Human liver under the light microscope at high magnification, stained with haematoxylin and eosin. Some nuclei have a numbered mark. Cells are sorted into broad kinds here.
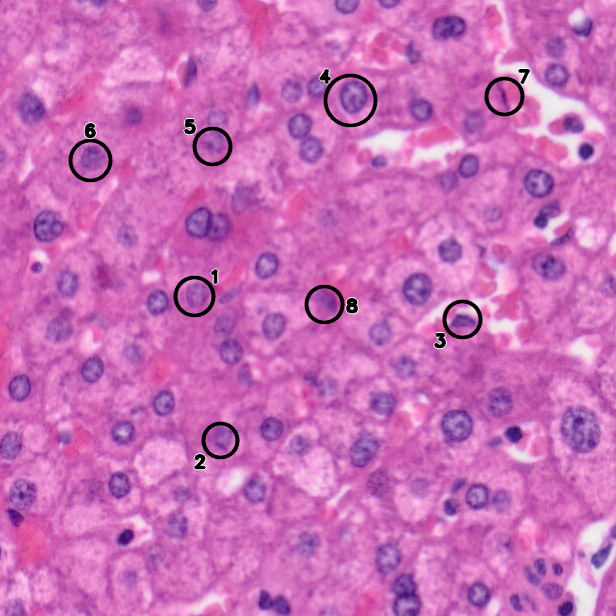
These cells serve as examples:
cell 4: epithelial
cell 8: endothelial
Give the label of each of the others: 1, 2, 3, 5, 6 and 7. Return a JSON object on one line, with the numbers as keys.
{"1": "epithelial", "2": "epithelial", "3": "endothelial", "5": "epithelial", "6": "epithelial", "7": "endothelial"}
